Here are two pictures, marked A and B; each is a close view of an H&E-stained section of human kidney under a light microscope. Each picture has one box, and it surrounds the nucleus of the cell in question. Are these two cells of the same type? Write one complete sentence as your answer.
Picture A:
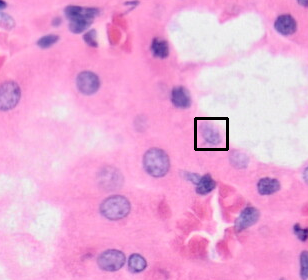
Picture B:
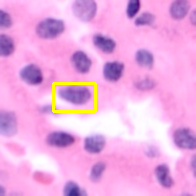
Yes, both are “loop of Henle or distal tubule cells”.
